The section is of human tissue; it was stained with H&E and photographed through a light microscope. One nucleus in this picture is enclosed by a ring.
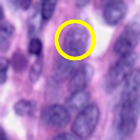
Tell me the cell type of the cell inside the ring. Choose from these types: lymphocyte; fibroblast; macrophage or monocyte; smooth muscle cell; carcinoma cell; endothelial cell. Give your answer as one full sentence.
Recorded by type, the cell inside the ring is a carcinoma cell.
